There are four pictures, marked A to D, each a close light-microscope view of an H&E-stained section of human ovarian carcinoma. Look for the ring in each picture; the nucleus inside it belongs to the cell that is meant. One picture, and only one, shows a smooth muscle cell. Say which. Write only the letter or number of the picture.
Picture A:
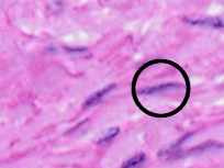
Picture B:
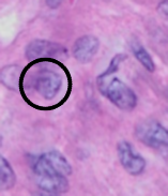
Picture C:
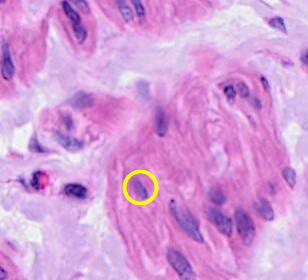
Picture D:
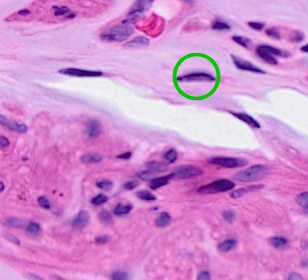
C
